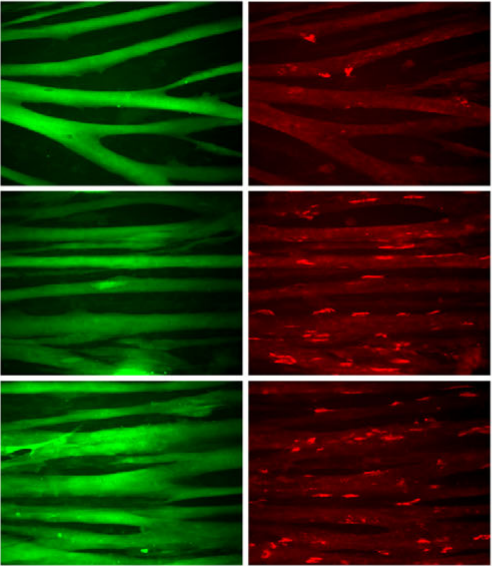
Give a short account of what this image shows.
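Cultured myotubes appear as long, parallel, tube-shaped cells filled evenly with green fluorescence, lying side by side and often crossing or branching. In the red images the same fibres show a faint diffuse surface labelling with scattered bright, elongated patches lying along the myotubes; these patches are sparse in the top row and much more numerous in the two lower rows.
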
